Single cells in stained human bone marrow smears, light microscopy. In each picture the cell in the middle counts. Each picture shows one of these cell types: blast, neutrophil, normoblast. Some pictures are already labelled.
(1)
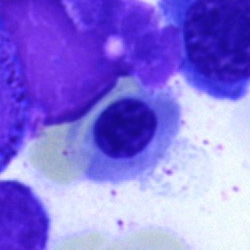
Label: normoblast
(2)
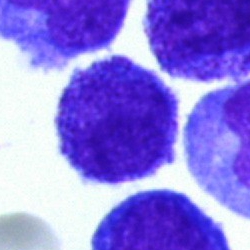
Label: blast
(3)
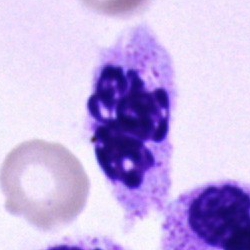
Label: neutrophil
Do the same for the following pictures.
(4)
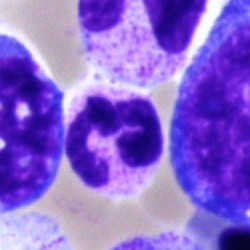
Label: neutrophil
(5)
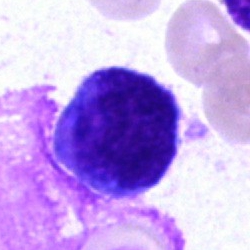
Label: blast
